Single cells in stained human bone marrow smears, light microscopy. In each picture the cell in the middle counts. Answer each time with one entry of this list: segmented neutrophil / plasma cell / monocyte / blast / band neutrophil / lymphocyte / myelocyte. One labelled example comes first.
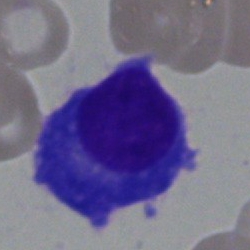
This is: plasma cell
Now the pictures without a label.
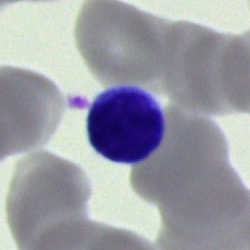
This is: lymphocyte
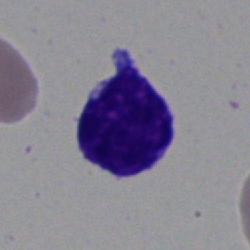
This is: blast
